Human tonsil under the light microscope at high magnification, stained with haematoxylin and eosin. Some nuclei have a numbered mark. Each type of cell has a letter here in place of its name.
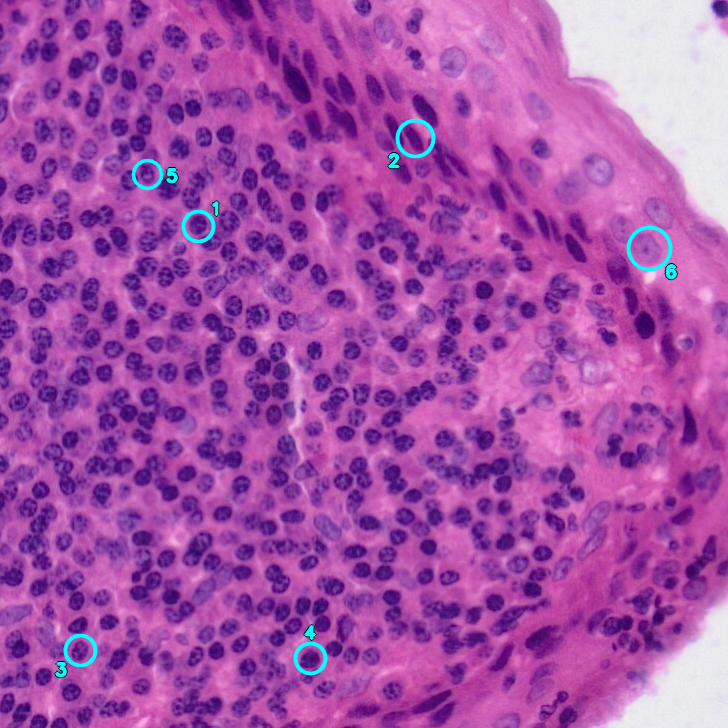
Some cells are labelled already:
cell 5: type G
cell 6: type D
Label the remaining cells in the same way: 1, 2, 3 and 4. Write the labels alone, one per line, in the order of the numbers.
type G
type D
type G
type G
